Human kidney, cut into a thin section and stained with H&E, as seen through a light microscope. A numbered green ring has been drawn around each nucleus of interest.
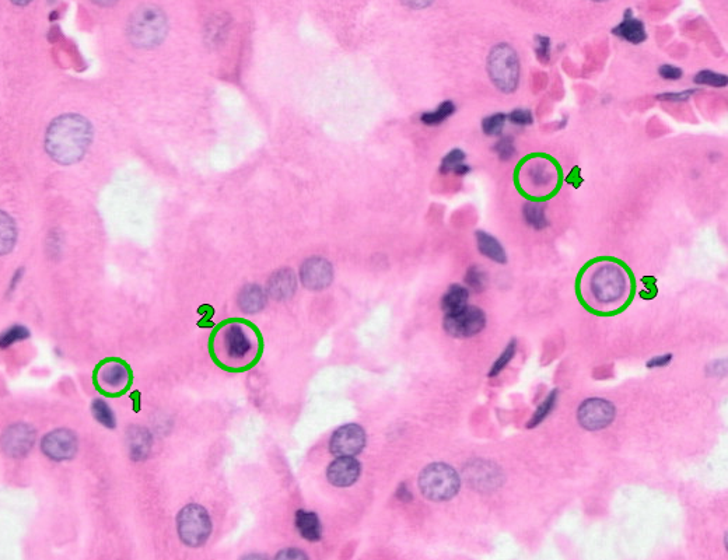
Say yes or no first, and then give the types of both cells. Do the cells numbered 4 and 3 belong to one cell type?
Yes, the two cells marked 4 and 3 are both proximal tubule cells.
